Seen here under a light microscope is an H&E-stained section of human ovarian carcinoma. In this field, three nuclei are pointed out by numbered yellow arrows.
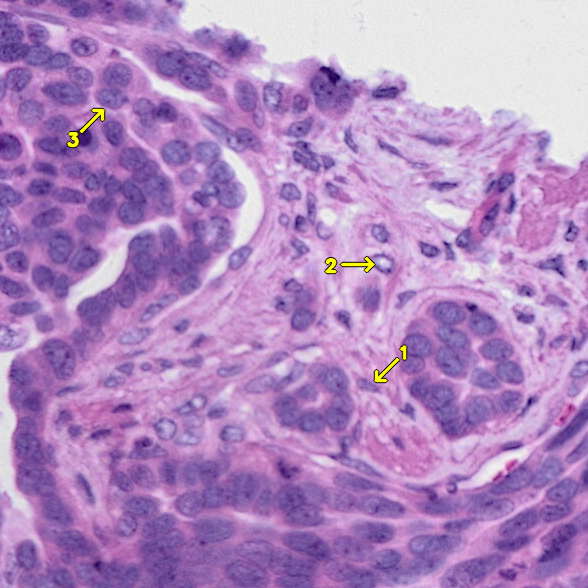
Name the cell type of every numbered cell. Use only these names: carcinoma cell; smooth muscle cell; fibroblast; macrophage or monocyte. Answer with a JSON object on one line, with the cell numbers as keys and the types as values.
{"1": "fibroblast", "2": "fibroblast", "3": "carcinoma cell"}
